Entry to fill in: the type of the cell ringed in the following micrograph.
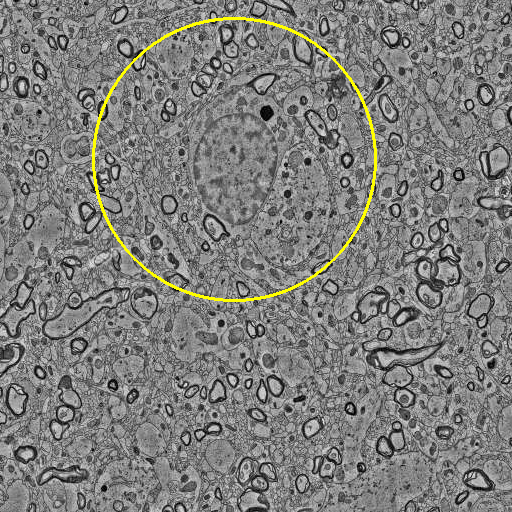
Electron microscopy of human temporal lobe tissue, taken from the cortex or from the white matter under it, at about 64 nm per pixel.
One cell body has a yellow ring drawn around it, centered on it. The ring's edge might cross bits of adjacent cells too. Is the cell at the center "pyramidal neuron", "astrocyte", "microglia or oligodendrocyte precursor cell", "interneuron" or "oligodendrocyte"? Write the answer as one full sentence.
This entry names an oligodendrocyte as the cell whose body lies at the ring's center.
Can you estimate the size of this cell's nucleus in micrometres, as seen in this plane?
The nucleus is approximately 7 micrometers long by 5 micrometers wide in this plane.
